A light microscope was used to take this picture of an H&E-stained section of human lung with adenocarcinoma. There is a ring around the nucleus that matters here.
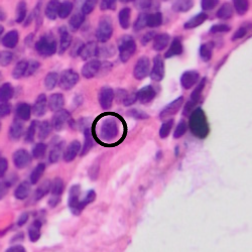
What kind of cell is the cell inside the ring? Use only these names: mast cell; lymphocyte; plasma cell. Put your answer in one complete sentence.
The cell inside the ring appears to be a lymphocyte.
